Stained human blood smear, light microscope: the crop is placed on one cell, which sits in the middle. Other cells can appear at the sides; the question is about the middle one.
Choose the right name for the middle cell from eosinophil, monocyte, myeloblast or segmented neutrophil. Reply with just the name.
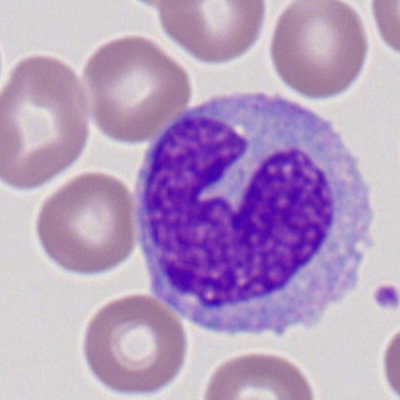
monocyte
